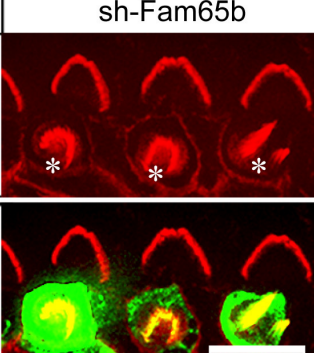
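Surface view of cochlear hair cells, shown in red alone and again with green overlaid, with stereocilia bundles stained red. Cells in the upper row carry regular V-shaped red bundles, while the lower cells, which fill with green, carry compact, twisted or tuft-like bundles instead of an ordered V. Thin red lines outline the cell borders around each apical surface.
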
